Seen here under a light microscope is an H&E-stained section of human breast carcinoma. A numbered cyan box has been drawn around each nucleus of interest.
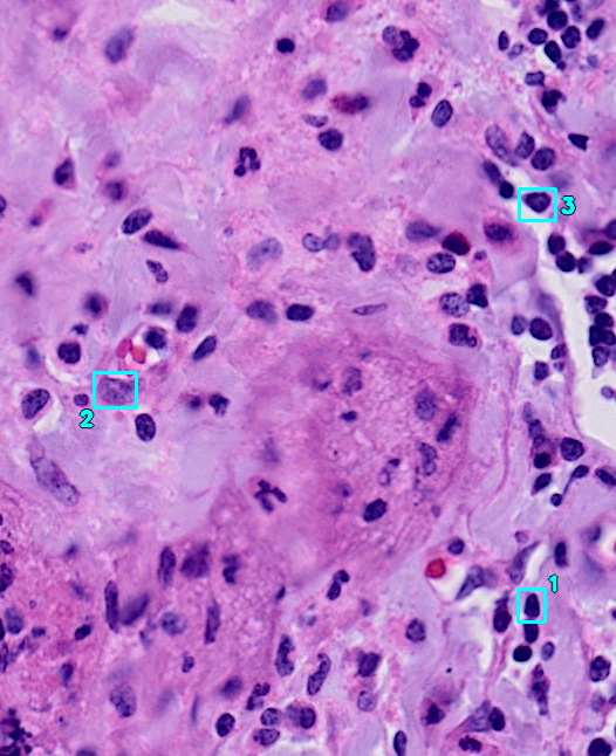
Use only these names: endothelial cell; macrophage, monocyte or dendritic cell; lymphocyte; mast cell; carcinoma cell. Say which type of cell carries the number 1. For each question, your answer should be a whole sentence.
The cell bearing label 1 corresponds to a lymphocyte.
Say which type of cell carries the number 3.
Denoted by the label 3 in the section is a lymphocyte.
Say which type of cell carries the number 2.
Cell 2, among those numbered, is an endothelial cell.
